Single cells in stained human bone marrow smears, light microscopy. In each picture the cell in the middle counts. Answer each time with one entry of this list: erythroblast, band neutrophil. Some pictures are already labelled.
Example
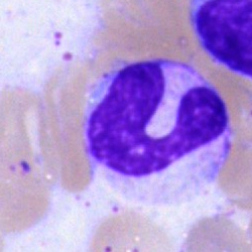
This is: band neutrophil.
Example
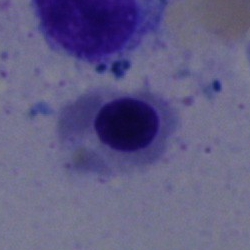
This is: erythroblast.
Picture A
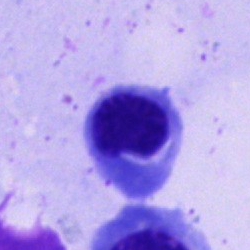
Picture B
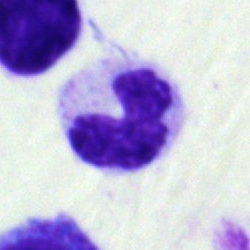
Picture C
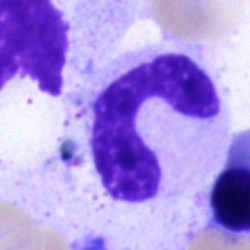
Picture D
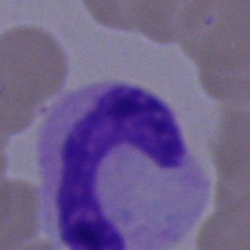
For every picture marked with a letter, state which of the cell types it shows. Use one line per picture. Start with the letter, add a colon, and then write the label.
A: erythroblast.
B: band neutrophil.
C: band neutrophil.
D: band neutrophil.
